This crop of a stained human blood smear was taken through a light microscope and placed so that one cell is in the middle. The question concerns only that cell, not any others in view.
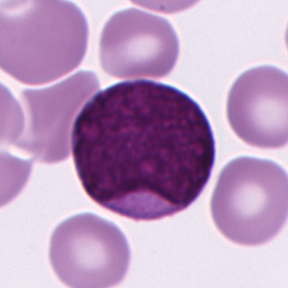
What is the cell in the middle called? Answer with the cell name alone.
myeloblast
